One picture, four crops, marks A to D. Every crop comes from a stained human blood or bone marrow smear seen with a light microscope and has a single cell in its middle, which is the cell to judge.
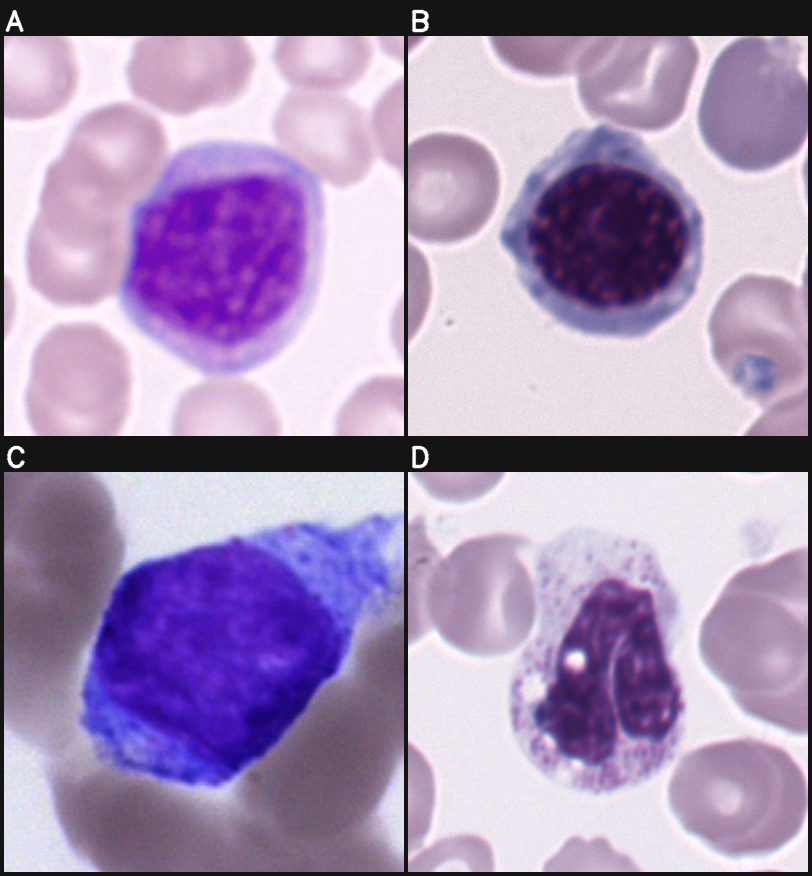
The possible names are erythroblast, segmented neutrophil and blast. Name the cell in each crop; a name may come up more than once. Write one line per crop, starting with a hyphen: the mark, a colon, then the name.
- A: blast
- B: erythroblast
- C: blast
- D: segmented neutrophil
